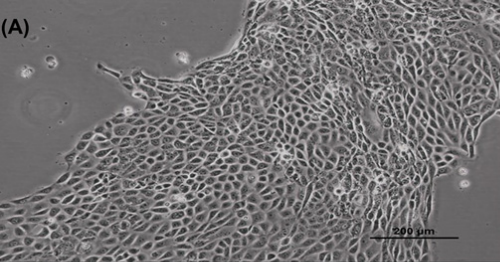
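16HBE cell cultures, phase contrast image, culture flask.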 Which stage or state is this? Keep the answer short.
Subconfluent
